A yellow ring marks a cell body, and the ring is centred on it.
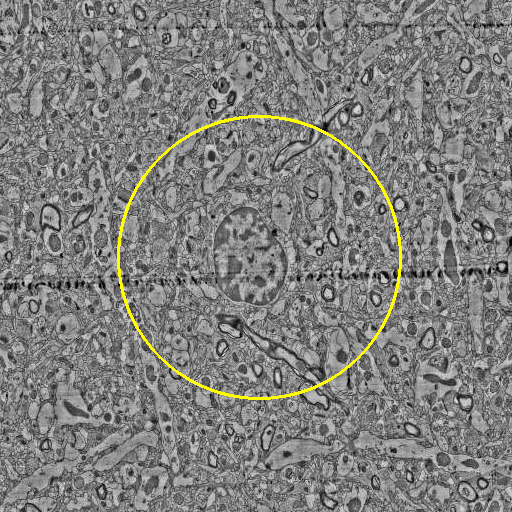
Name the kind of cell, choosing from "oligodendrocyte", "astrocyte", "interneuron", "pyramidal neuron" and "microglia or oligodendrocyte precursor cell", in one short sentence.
The marked cell body belongs to a microglial cell or oligodendrocyte precursor cell.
